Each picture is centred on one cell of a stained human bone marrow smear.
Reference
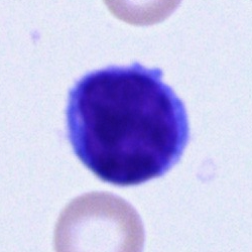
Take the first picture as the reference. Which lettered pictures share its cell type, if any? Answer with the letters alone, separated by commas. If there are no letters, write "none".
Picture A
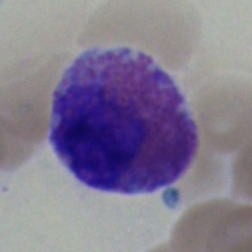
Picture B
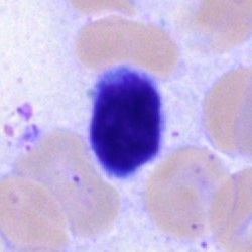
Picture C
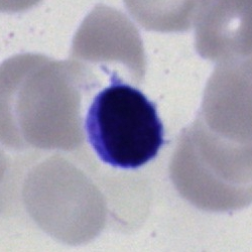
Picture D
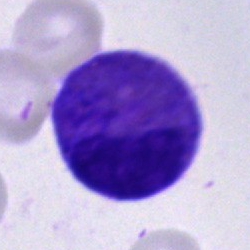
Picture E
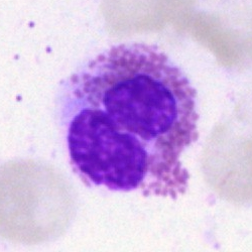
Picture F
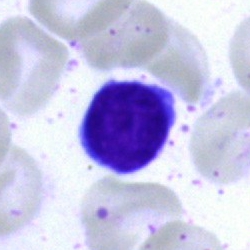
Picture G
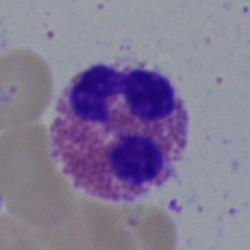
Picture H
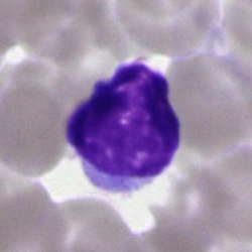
B, C, F, H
